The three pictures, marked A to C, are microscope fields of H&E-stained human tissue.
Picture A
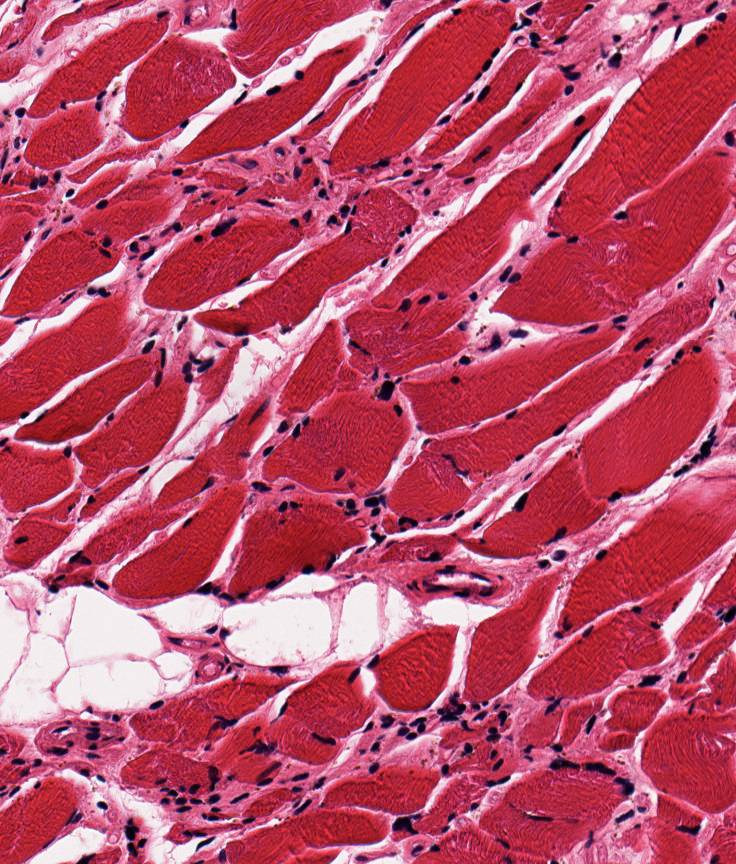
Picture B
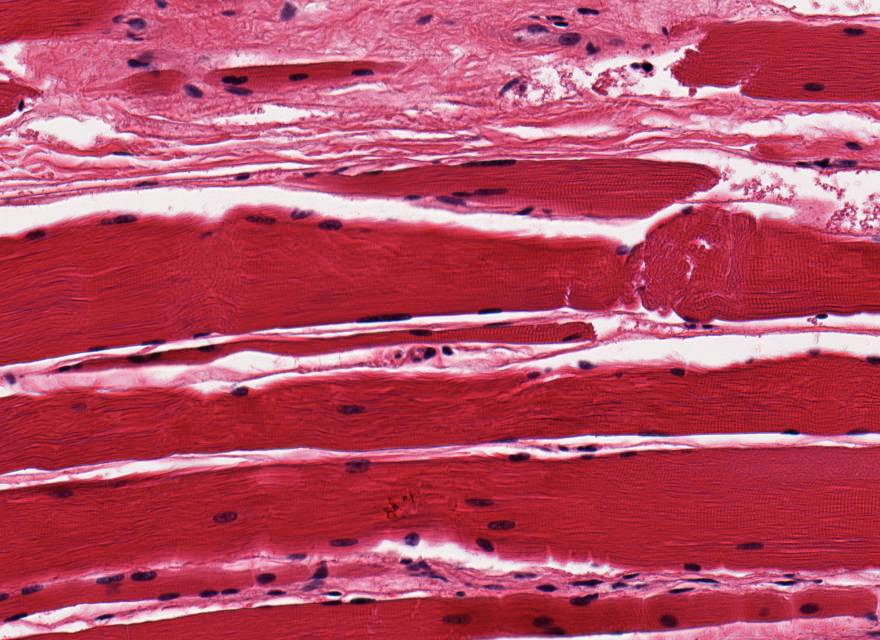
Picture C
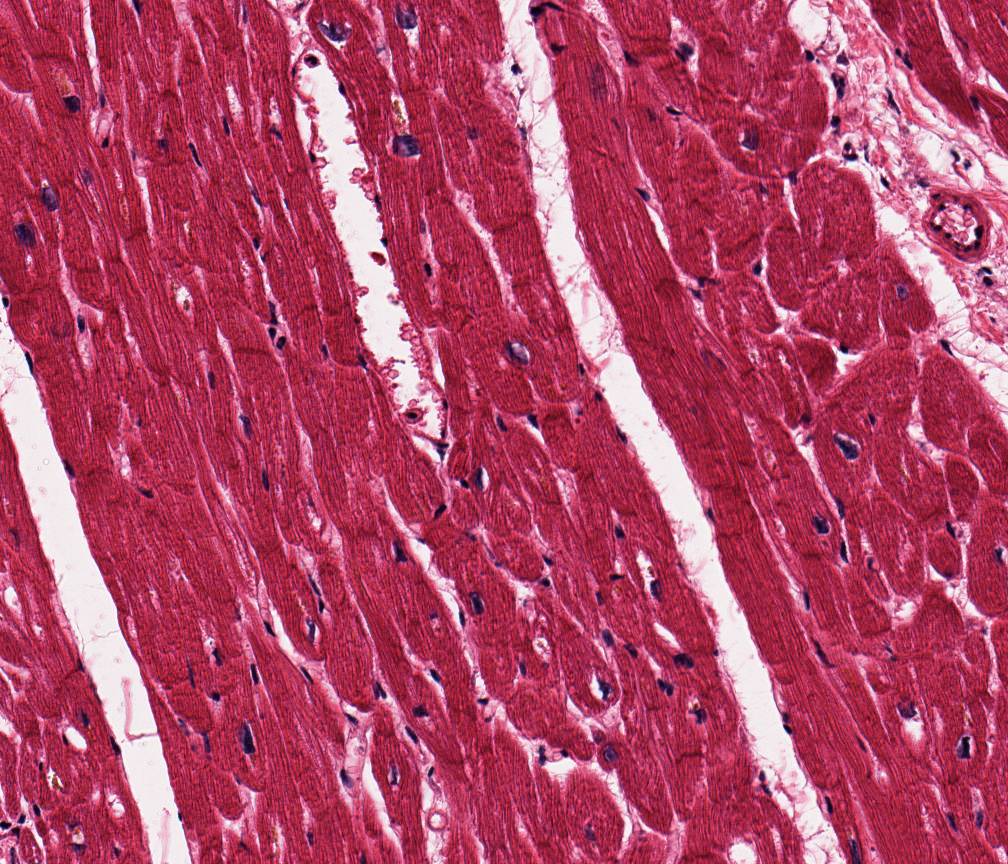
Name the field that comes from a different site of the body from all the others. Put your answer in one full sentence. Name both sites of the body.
Picture C is the odd one out: it comes from the left ventricle of the heart, while the others come from skeletal muscle.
